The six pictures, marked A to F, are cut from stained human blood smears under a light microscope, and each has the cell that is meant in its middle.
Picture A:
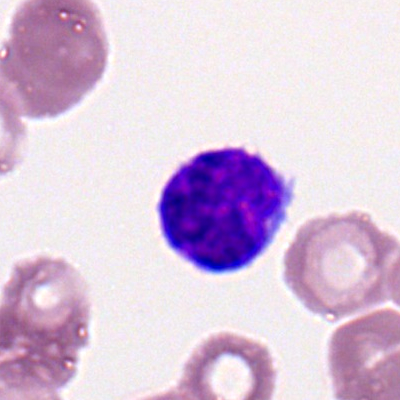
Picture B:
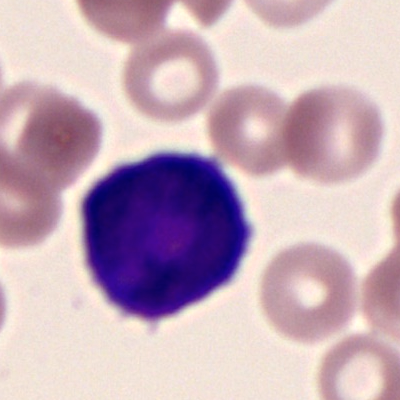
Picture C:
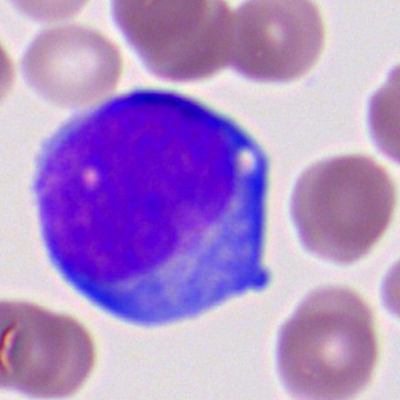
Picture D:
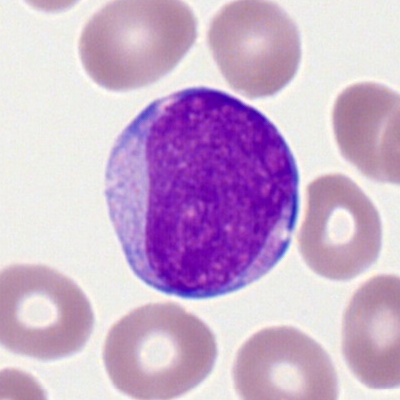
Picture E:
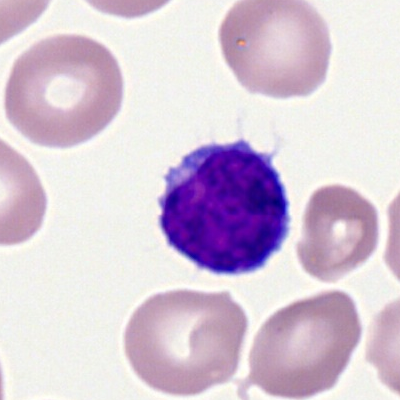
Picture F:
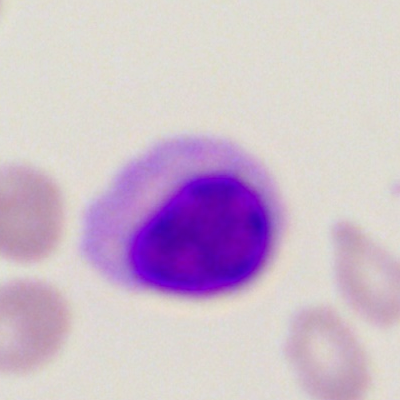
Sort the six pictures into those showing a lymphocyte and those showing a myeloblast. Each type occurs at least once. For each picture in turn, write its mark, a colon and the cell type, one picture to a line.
A: lymphocyte
B: myeloblast
C: myeloblast
D: myeloblast
E: lymphocyte
F: lymphocyte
